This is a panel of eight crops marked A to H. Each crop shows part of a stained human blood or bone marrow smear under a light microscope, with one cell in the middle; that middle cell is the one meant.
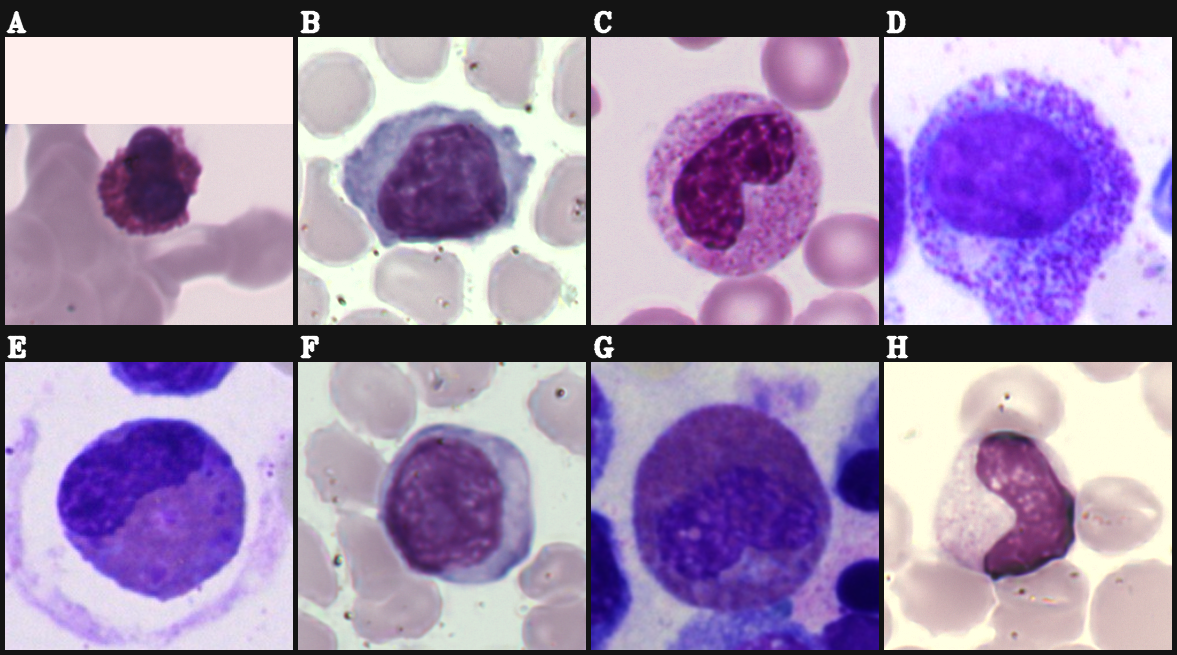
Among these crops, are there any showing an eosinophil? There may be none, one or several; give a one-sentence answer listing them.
In crops A, E and G, the centrally located cells represent eosinophils.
